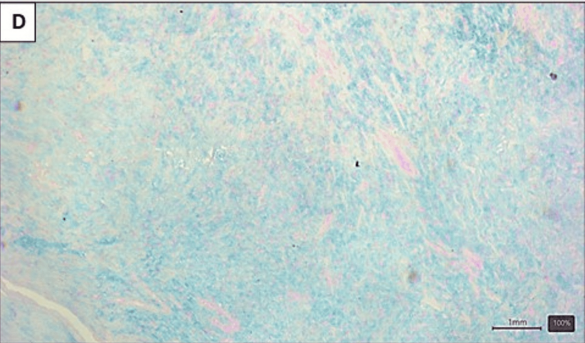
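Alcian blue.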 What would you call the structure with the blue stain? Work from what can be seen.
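Most of the field is stained pale turquoise blue. A few pink strands cross the blue background.
Myxoid material.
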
